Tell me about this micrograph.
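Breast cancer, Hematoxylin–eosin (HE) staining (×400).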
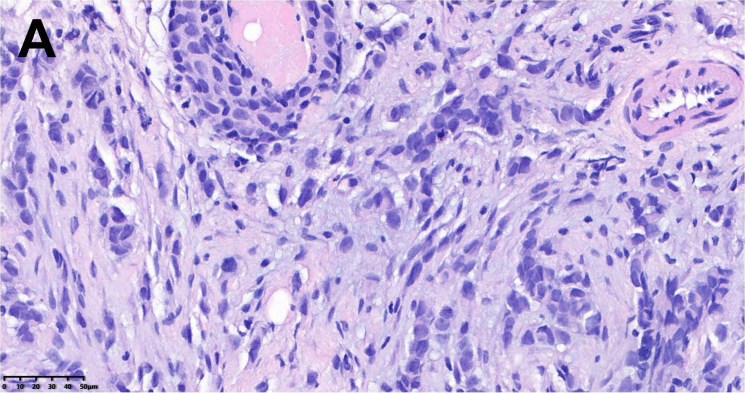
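The tumor cells have enlarged, dark purple, oval to spindle-shaped nuclei and scant cytoplasm, and lie singly, in short cords and in small crowded clusters. Nuclei vary in size and shape, with some crowding and overlap.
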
